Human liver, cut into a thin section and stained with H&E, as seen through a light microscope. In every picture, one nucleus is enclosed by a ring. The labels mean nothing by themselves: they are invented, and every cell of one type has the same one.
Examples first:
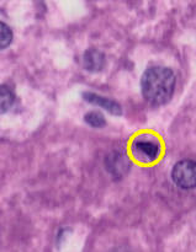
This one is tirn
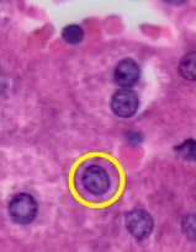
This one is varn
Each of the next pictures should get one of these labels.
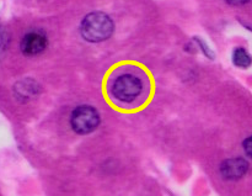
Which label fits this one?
varn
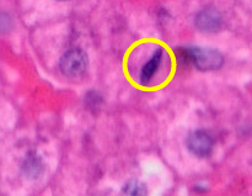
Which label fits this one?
tirn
